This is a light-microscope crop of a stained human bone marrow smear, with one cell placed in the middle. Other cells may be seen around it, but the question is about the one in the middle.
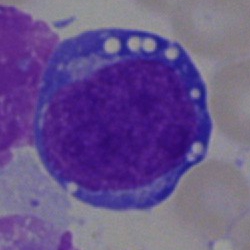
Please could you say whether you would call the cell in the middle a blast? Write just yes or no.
yes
